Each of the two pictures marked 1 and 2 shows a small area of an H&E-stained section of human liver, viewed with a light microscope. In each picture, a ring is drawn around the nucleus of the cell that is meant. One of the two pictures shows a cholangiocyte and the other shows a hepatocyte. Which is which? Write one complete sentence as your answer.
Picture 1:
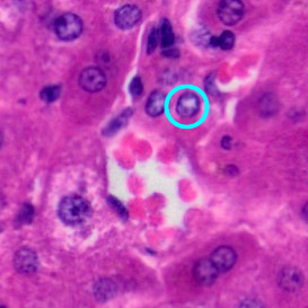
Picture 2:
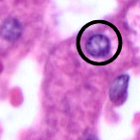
It is picture 1 that shows a cholangiocyte, and picture 2 that shows a hepatocyte.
